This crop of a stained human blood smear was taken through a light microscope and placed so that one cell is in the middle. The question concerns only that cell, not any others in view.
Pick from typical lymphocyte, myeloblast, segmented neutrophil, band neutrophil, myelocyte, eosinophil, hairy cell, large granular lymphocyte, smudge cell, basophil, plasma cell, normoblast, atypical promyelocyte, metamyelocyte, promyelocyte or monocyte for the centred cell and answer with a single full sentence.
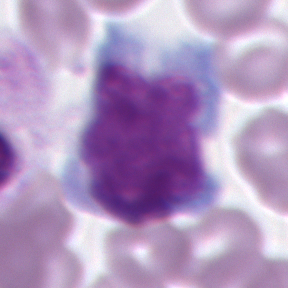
Occupying the centre of the crop is a monocyte.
